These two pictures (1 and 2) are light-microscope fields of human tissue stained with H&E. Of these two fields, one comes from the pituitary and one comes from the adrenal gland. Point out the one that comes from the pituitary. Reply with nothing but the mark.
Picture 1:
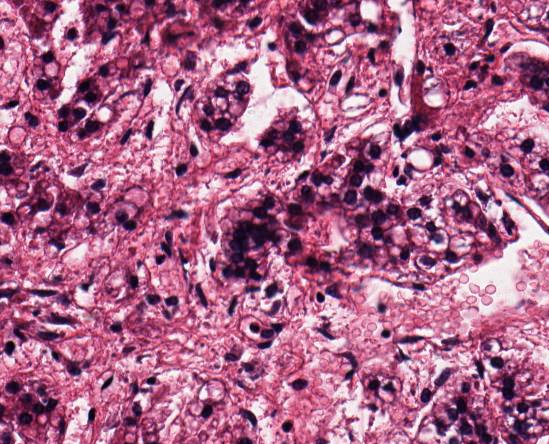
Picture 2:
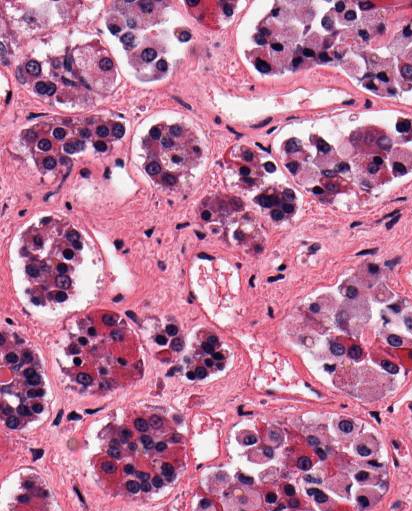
2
